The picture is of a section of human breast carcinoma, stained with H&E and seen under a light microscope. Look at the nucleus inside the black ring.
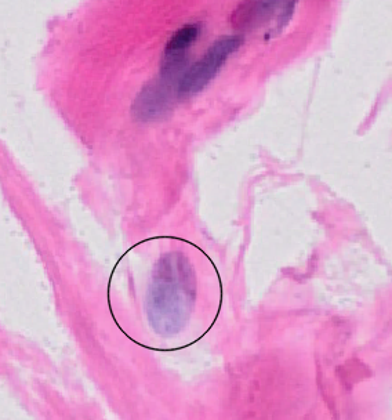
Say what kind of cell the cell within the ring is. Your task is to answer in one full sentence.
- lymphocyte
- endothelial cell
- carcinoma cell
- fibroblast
Typologically, the cell within the ring is a fibroblast in this section.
